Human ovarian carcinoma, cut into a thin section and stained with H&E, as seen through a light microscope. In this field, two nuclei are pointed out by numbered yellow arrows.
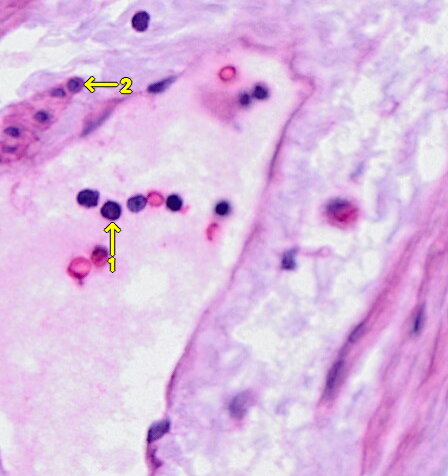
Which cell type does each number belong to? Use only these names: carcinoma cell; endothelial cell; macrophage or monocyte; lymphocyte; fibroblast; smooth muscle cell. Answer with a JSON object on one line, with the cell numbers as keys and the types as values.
{"1": "lymphocyte", "2": "smooth muscle cell"}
